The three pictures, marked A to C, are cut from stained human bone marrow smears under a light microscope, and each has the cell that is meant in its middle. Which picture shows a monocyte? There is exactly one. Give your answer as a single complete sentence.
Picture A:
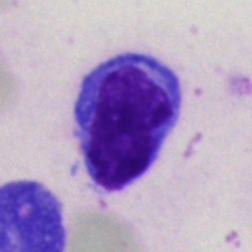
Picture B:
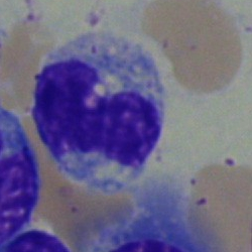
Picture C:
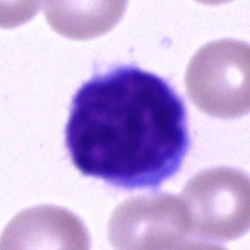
The monocyte is the one in picture B.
